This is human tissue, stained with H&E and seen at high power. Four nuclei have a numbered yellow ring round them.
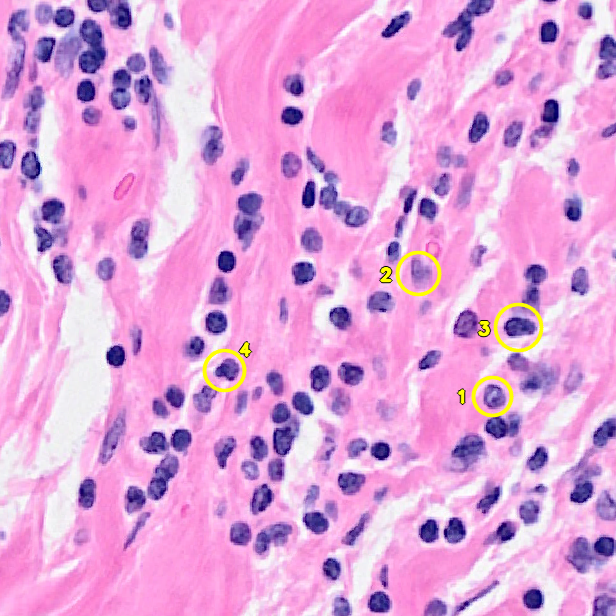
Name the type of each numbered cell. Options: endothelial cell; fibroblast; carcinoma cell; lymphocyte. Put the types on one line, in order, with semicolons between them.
lymphocyte; endothelial cell; lymphocyte; lymphocyte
